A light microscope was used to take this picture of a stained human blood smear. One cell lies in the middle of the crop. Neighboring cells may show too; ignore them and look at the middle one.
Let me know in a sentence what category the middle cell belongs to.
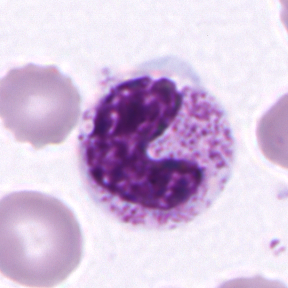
The central cell shown in this smear crop is a band neutrophil.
